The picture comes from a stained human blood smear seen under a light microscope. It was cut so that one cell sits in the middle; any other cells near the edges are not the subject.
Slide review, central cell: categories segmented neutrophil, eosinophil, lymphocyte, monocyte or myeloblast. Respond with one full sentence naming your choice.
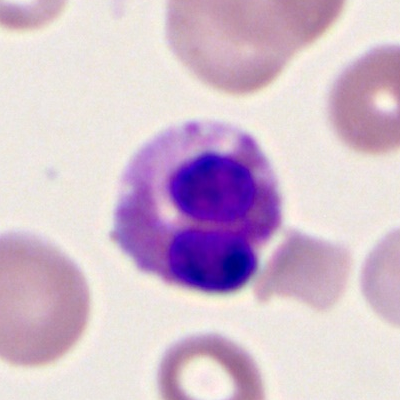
This crop is built around an eosinophil at its centre.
